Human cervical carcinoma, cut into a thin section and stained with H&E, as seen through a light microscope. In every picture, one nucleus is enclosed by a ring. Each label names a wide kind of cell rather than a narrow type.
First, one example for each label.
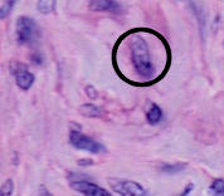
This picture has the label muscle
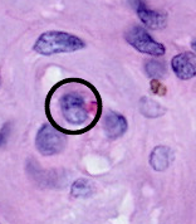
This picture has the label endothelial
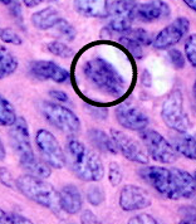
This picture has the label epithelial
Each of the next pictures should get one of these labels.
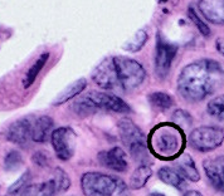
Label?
epithelial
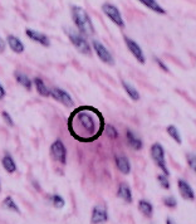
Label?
muscle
